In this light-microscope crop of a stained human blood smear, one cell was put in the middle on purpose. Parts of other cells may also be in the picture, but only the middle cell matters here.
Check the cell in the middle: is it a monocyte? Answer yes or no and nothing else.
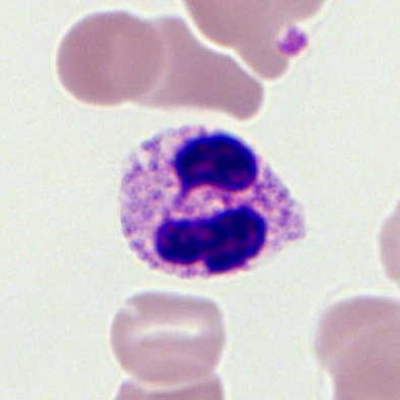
no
